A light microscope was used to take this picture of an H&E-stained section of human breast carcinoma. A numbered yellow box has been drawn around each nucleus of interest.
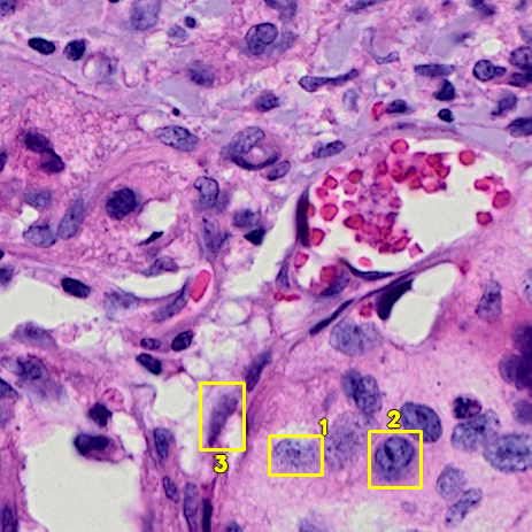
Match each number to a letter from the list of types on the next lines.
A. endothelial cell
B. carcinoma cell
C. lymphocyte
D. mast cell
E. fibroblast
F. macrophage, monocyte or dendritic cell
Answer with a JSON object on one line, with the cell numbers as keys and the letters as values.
{"1": "B", "2": "B", "3": "E"}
